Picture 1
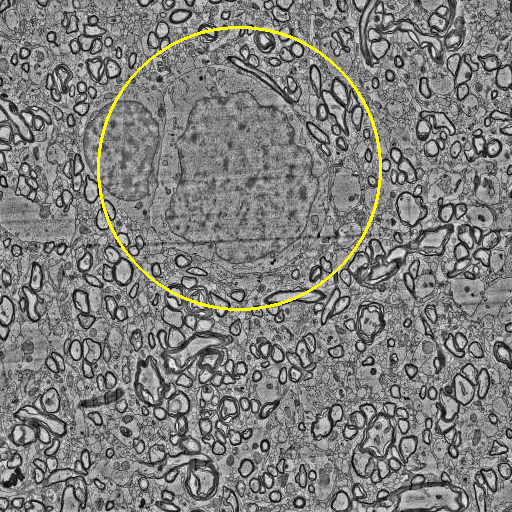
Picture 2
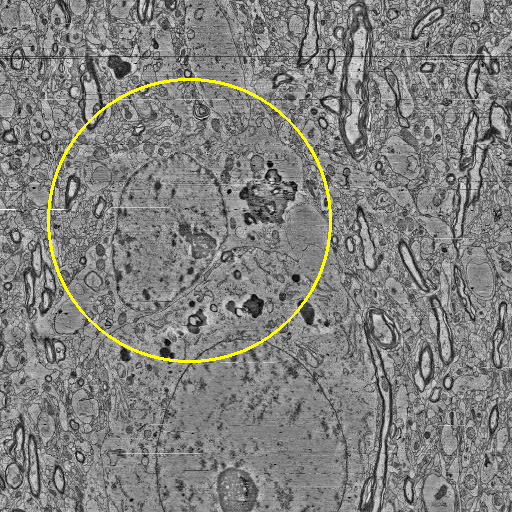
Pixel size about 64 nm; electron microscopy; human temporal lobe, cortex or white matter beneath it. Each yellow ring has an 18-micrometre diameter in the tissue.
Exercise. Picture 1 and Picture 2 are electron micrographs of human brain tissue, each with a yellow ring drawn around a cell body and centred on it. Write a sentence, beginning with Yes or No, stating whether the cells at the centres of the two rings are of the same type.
No, the cells at the centres of the rings are of two types.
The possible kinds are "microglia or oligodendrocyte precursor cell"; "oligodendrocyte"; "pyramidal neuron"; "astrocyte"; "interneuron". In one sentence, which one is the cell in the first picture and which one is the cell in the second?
The cell ringed in the second picture is an astrocyte, whereas the one ringed in the first is an interneuron.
